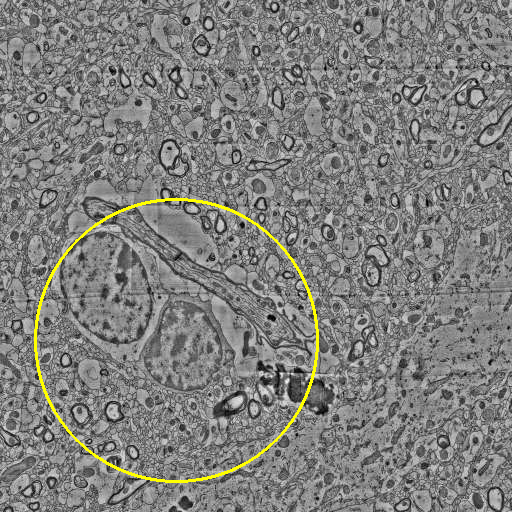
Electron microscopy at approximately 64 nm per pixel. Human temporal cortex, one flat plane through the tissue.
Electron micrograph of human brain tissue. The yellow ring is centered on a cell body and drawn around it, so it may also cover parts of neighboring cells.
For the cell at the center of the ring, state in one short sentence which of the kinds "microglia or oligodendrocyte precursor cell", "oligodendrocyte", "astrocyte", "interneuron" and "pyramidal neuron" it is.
This ring is centered on an oligodendrocyte.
